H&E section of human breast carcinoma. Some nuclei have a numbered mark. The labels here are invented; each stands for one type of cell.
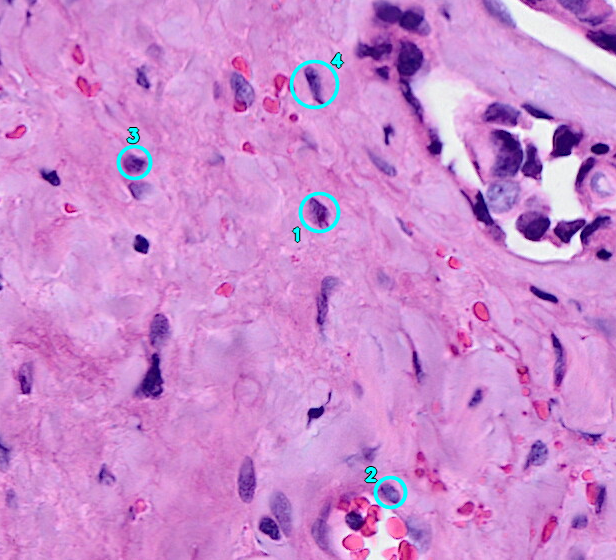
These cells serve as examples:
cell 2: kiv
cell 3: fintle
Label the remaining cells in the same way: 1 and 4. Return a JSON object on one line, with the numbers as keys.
{"1": "fintle", "4": "fintle"}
